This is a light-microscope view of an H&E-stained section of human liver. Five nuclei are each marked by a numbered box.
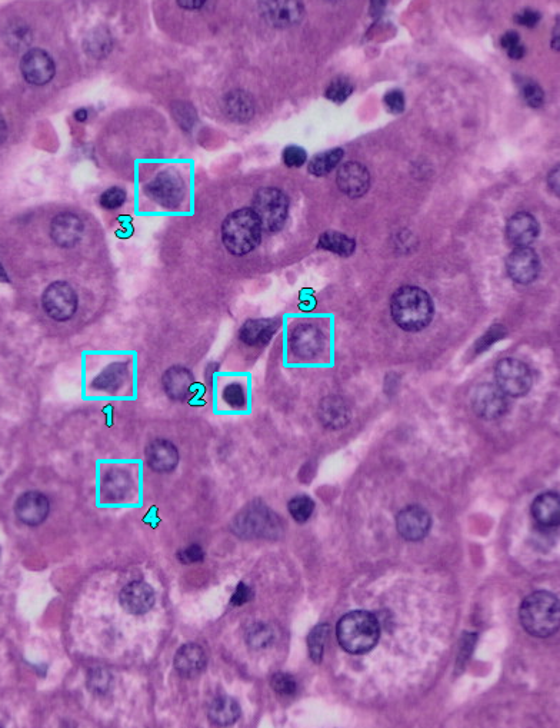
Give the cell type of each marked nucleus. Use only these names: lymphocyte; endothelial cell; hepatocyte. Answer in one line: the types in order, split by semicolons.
endothelial cell; lymphocyte; endothelial cell; hepatocyte; hepatocyte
